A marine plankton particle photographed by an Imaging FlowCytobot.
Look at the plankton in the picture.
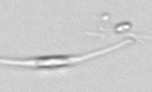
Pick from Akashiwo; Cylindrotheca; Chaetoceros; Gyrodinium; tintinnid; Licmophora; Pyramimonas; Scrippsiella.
Cylindrotheca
